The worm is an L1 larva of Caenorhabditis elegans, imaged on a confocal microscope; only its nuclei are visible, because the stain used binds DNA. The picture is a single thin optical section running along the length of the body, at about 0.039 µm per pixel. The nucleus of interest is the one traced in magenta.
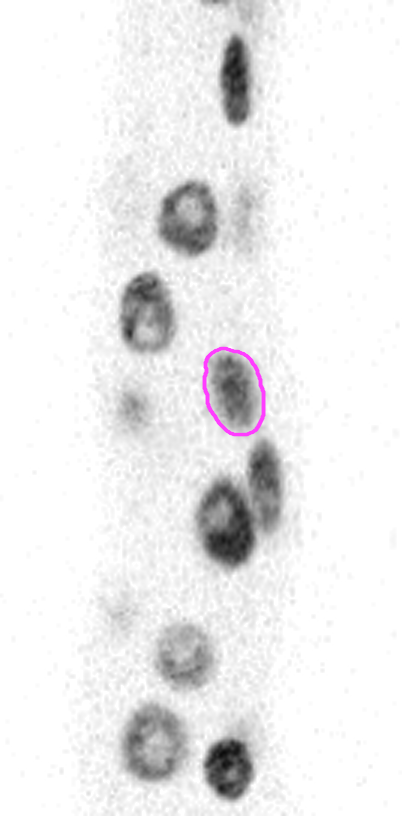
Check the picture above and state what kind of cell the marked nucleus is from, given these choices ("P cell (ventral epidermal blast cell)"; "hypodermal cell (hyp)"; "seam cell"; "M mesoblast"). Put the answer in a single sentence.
It is the nucleus of a P cell (ventral epidermal blast cell).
